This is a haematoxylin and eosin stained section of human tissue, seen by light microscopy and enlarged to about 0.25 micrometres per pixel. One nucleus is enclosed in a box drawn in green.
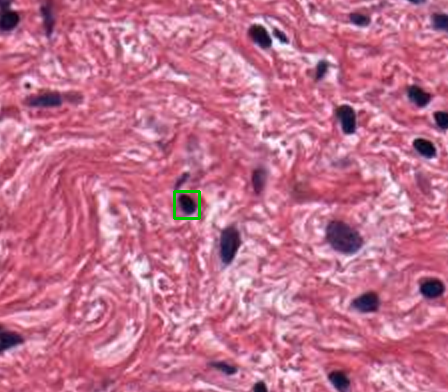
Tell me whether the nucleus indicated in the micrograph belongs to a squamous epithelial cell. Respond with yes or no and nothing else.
no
